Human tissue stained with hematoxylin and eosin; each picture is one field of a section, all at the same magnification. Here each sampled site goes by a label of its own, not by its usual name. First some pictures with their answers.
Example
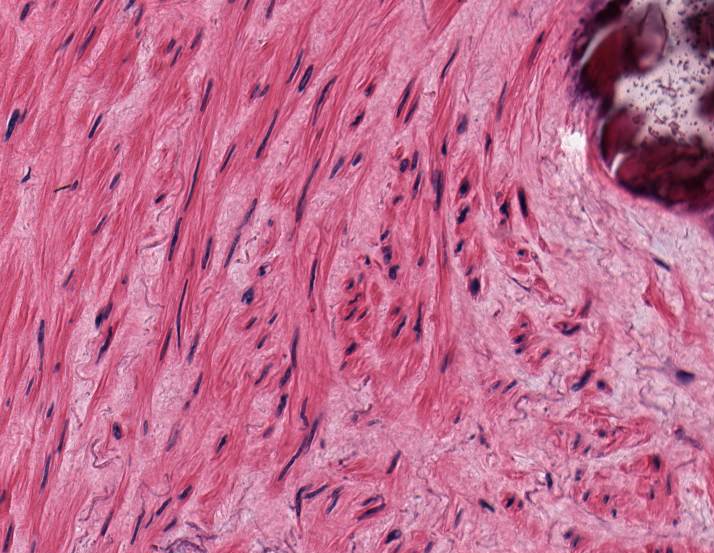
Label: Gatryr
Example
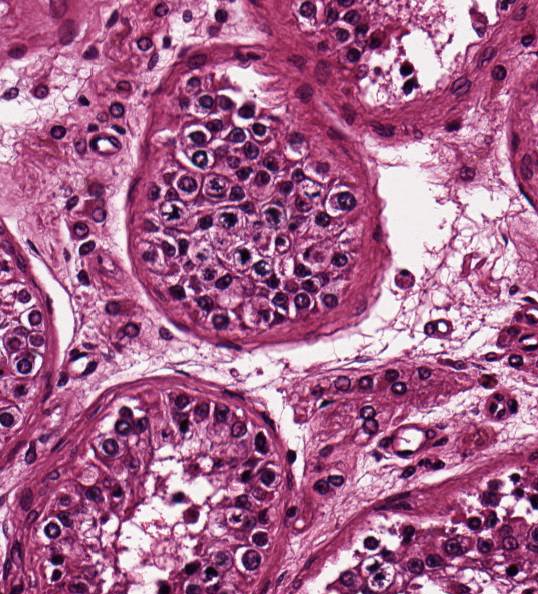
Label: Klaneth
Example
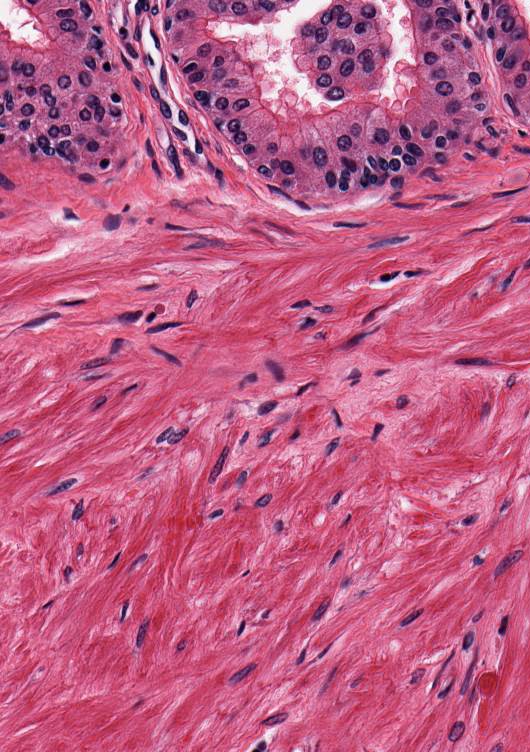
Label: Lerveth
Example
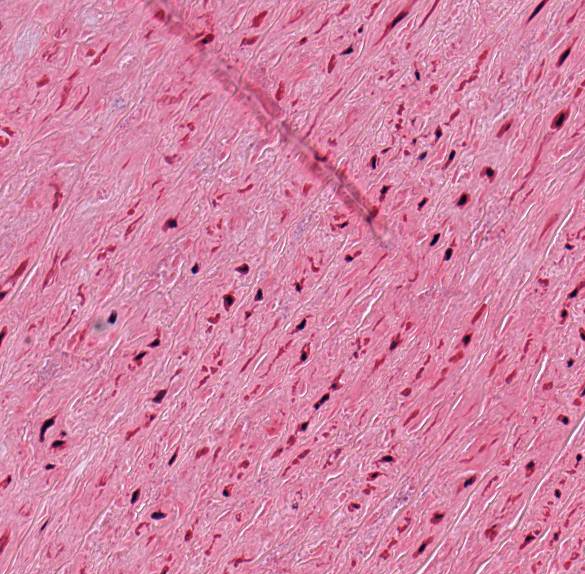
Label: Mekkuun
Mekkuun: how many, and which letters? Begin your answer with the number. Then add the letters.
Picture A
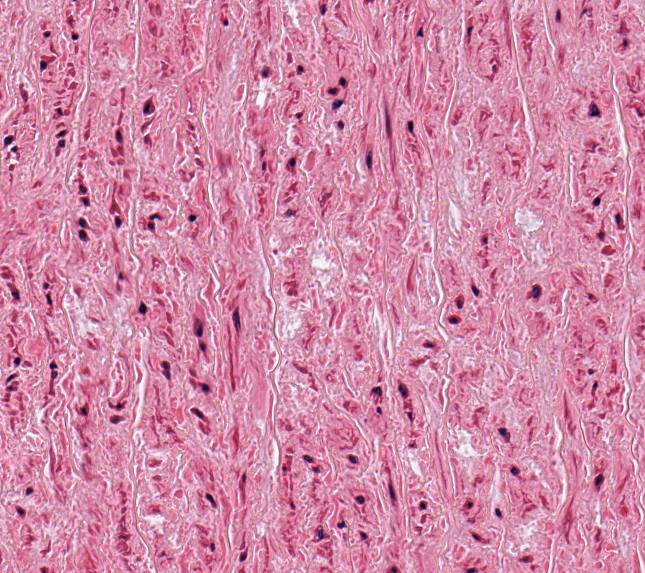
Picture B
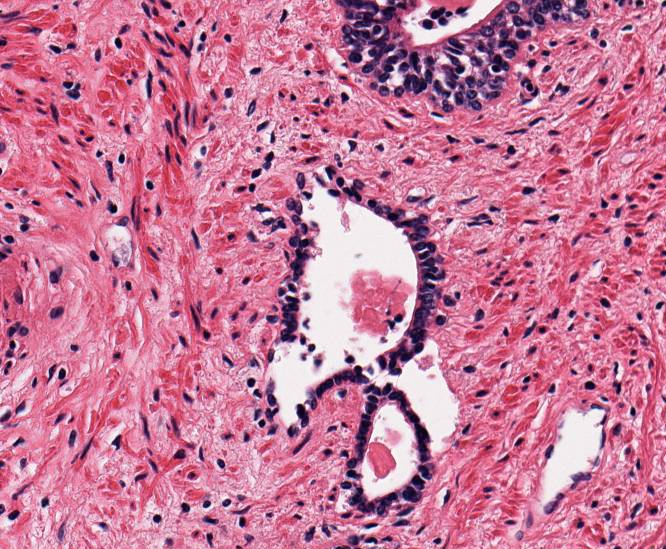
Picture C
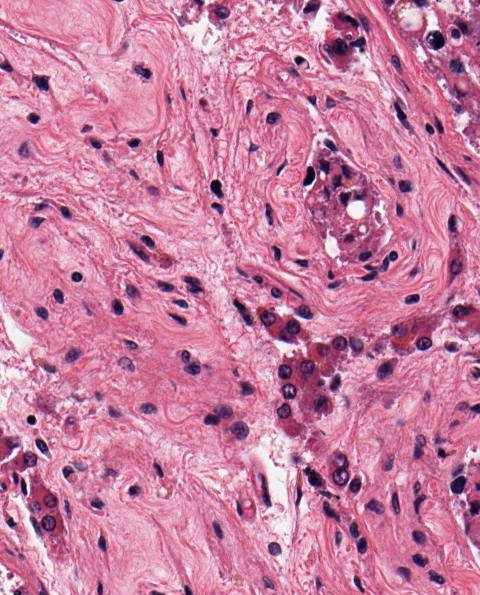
1, namely A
